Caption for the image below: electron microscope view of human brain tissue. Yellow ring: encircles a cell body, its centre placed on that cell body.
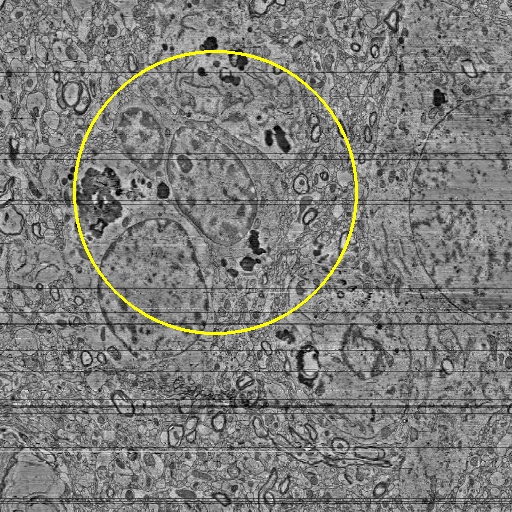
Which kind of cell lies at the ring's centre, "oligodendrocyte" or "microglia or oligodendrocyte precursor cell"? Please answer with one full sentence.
The picture shows an oligodendrocyte at the centre of the yellow ring.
